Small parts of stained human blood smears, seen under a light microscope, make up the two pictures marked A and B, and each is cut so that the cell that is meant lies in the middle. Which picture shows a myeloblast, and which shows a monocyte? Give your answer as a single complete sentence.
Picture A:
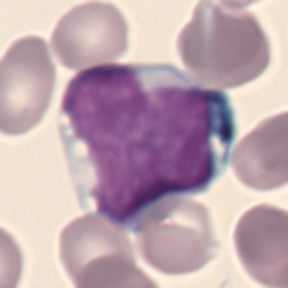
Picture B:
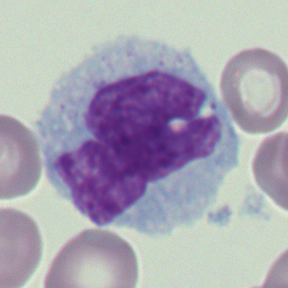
It is picture A that shows a myeloblast, and picture B that shows a monocyte.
